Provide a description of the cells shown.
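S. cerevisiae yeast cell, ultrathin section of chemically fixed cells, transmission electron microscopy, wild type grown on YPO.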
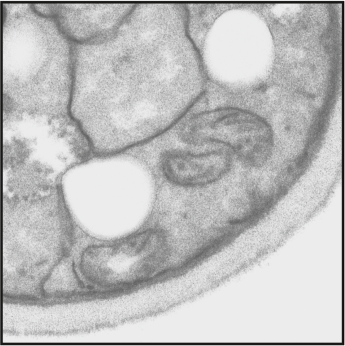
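At higher magnification, part of a yeast cell is shown with its thick, pale cell wall running along the lower right edge. In the cytoplasm beside the wall lie oval mitochondria bounded by a double membrane, with inner folds crossing their interior. Round, electron-lucent white bodies sit nearby, and larger irregular membrane-bounded compartments with lighter contents fill the upper part of the field.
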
